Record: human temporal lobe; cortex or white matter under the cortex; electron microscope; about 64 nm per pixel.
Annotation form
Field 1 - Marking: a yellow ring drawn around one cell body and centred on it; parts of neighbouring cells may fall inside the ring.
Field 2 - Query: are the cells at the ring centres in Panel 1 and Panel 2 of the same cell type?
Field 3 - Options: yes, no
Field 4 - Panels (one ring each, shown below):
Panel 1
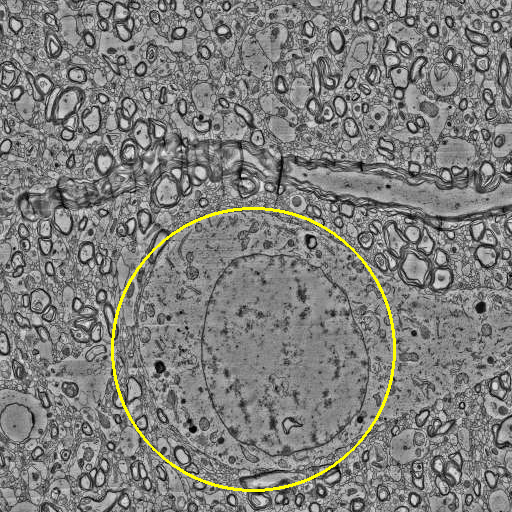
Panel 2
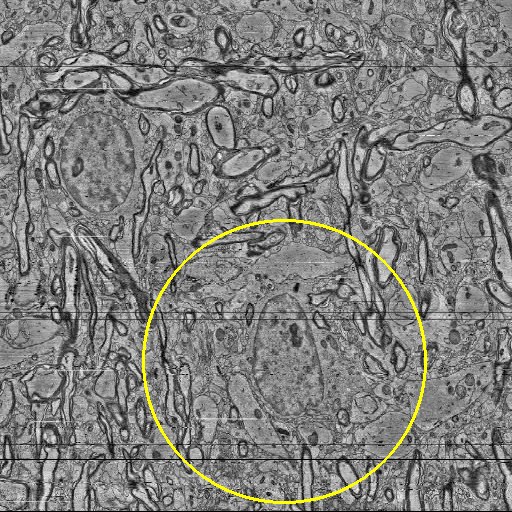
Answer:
no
